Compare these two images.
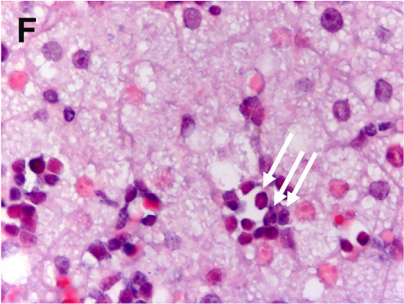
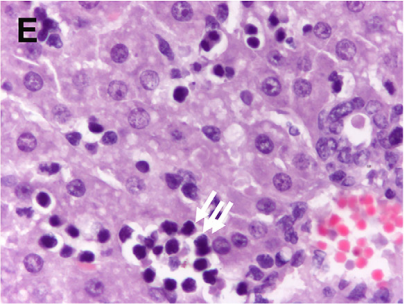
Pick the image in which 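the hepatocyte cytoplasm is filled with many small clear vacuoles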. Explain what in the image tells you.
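First image: hepatocytes have pale, foamy cytoplasm packed with small clear vacuoles.
The first image.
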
